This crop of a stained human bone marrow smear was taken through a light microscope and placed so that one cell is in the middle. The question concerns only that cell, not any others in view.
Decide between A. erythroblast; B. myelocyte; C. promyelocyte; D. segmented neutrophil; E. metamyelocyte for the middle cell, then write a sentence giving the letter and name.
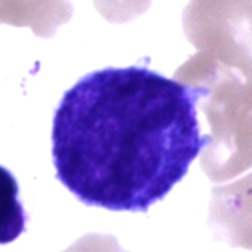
Option C is the correct option, with the middle cell being a promyelocyte.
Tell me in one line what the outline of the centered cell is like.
The cell is outlined unevenly, the border being ragged or extended into projections.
